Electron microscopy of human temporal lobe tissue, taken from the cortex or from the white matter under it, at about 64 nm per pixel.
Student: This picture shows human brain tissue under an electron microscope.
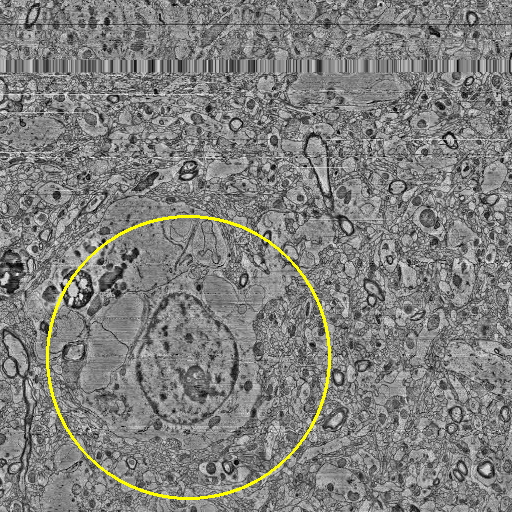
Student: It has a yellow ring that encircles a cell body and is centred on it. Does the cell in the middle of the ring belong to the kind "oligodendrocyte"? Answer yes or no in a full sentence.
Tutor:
No, the cell in the middle of the ring in this picture is of another kind.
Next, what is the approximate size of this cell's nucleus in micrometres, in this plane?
About 9 micrometres by about 6 micrometres in this plane.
